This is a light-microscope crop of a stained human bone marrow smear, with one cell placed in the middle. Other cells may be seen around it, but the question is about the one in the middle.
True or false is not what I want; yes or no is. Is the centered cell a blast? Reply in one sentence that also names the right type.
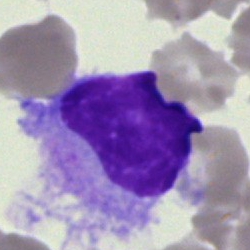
No, the middle cell is not a blast, it being a hairy cell.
